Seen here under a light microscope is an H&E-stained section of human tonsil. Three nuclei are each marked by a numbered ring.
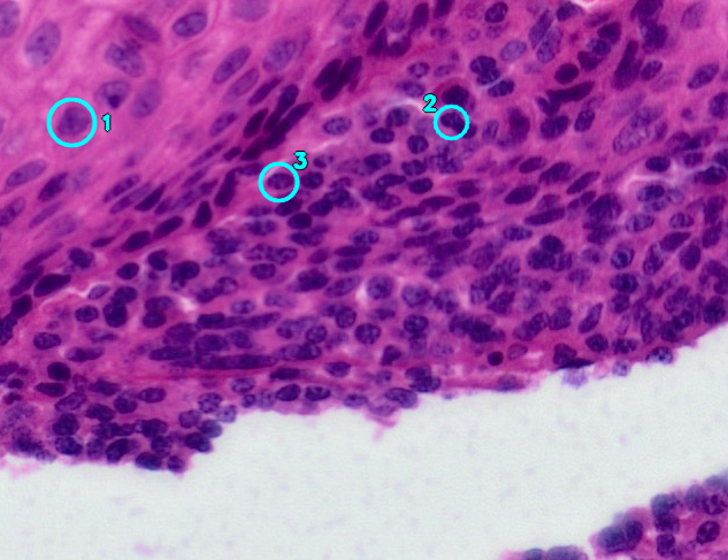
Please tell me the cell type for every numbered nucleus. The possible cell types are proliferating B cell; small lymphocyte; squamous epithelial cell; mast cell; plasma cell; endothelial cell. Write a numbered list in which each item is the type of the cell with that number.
1. squamous epithelial cell
2. plasma cell
3. plasma cell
